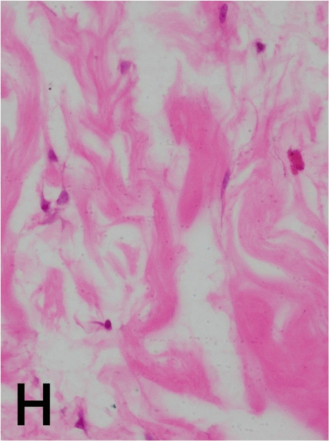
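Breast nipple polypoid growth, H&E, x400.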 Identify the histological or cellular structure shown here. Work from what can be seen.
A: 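Broad, wavy, pink, acellular fibre bundles fill most of the field. The bundles are separated by pale clefts.
Thick collagen bundles.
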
